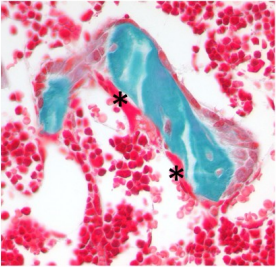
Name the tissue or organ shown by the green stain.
Mineralized bone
